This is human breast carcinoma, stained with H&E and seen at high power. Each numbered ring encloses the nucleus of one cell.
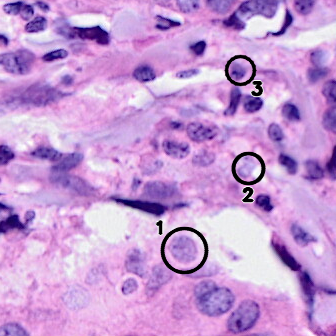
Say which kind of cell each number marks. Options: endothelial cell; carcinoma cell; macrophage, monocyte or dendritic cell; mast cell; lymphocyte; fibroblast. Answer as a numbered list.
1. carcinoma cell
2. macrophage, monocyte or dendritic cell
3. lymphocyte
